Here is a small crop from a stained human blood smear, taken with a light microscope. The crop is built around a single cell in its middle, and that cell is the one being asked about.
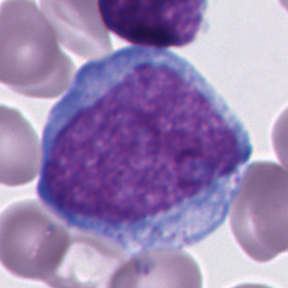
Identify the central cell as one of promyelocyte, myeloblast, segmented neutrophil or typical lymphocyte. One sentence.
The cell at the middle of the frame should be recorded as a promyelocyte.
